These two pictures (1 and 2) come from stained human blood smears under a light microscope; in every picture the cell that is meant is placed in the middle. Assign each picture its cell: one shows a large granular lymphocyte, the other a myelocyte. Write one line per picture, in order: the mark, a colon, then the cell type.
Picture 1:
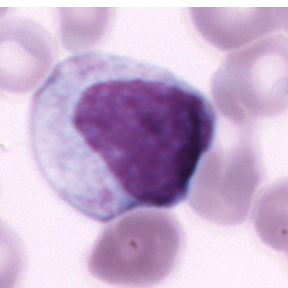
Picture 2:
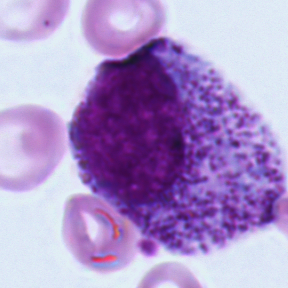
1: large granular lymphocyte
2: myelocyte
